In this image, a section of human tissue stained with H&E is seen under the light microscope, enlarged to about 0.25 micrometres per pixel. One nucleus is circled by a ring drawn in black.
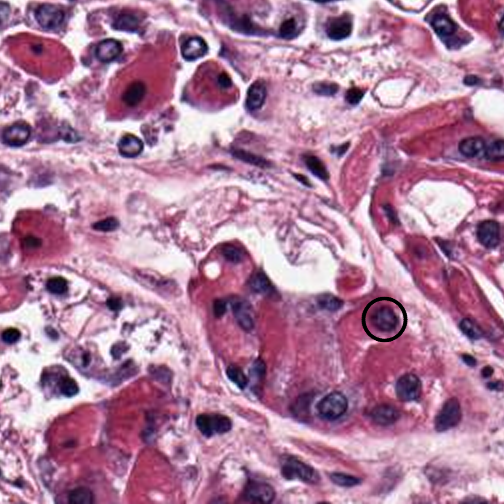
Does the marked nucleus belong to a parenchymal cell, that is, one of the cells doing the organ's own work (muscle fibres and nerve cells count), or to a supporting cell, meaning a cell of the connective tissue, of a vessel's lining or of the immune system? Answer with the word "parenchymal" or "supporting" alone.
parenchymal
